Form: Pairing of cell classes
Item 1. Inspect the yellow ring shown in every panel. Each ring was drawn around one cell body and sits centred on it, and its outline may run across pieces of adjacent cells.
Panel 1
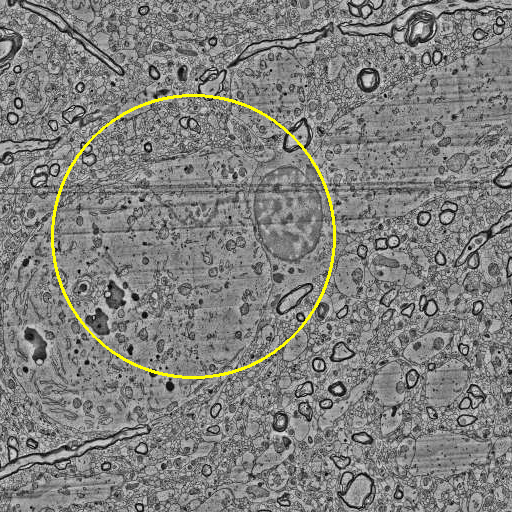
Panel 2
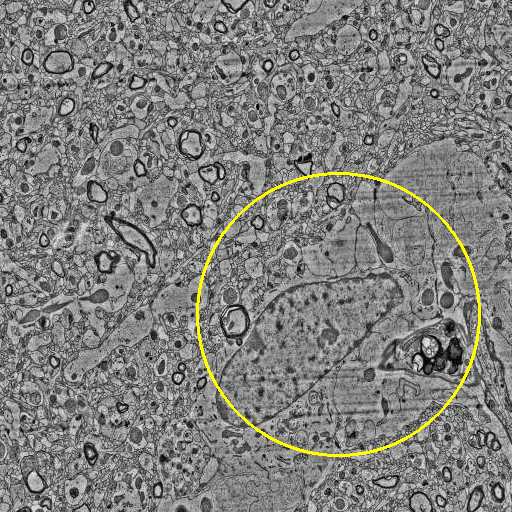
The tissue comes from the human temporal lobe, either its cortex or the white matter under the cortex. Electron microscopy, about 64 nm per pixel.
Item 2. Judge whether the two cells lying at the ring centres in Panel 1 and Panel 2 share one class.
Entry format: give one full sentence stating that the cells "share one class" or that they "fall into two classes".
The cells at the ring centres in Panel 1 and Panel 2 share one class.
